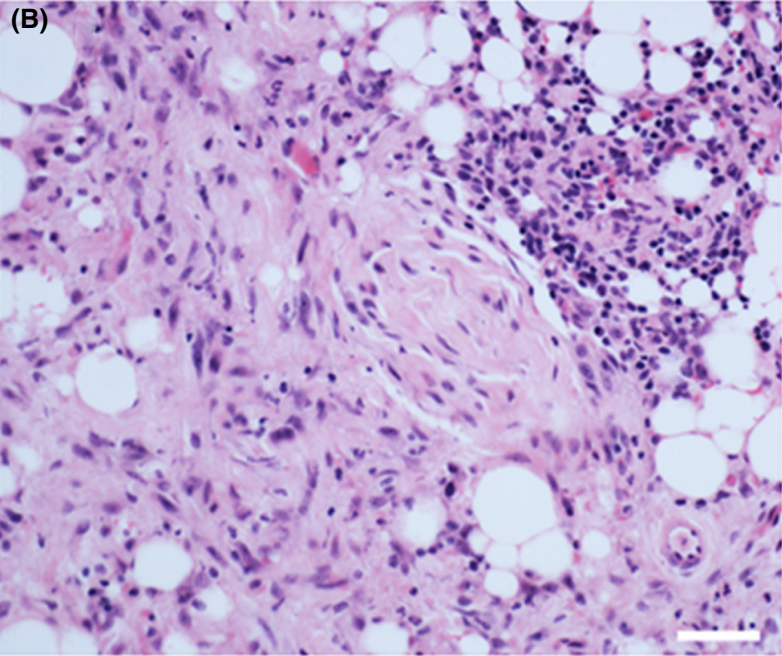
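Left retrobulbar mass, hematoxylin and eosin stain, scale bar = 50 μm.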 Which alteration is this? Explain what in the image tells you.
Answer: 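Spindle cell proliferation. Many elongated, spindle-shaped nuclei lie in pink fibrillar stroma. The spindle cells form loose fascicles.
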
